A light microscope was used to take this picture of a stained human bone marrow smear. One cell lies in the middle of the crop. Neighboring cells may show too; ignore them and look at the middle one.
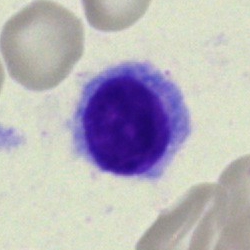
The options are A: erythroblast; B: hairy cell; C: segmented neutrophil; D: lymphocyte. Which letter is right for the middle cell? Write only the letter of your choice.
B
